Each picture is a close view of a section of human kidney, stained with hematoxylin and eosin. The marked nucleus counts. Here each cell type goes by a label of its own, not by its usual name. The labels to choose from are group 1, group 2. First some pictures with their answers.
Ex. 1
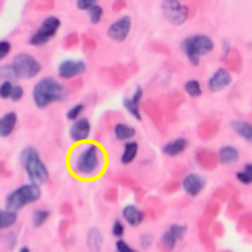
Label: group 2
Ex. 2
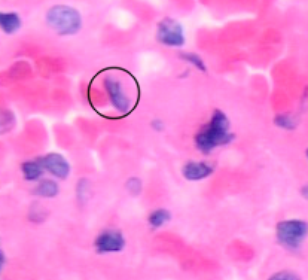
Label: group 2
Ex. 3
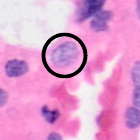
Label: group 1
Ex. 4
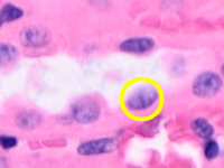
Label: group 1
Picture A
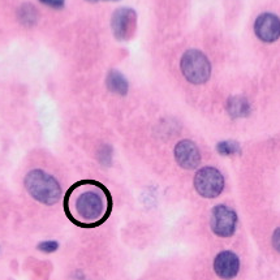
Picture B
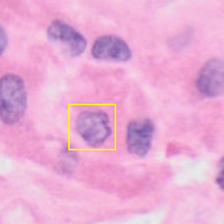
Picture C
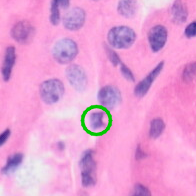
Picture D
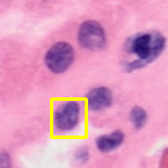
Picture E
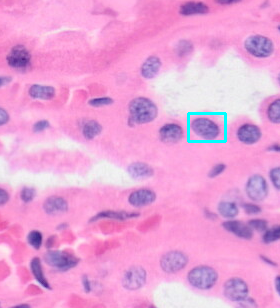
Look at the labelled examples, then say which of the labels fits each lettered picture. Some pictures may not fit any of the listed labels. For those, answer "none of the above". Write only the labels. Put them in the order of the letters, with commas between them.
none of the above, none of the above, group 1, group 1, group 1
